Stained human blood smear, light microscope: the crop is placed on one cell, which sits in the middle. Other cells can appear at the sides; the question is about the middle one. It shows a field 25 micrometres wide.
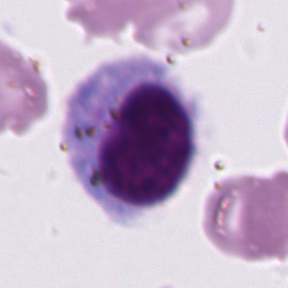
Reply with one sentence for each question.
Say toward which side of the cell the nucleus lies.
Toward the lower right of the cell lies its nucleus.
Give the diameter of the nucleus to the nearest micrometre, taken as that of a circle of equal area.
About 9 micrometres: that is the diameter of the nucleus.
